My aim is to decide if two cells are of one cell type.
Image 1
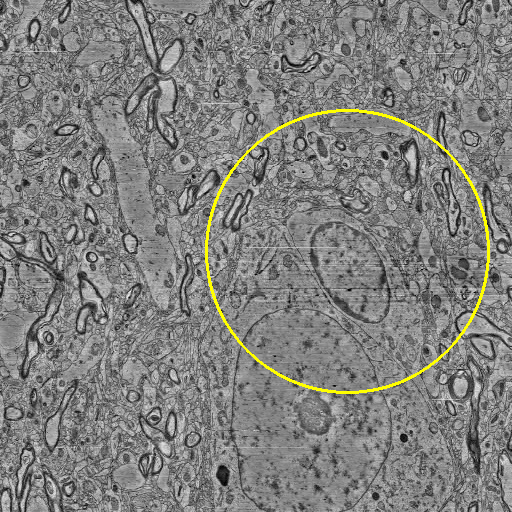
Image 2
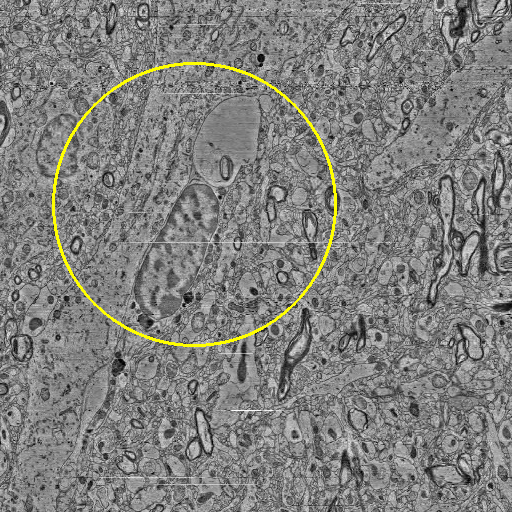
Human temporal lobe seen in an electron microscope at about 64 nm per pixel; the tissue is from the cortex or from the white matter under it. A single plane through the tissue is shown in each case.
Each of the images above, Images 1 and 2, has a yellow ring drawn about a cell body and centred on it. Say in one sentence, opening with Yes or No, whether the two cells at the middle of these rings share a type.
Yes, in Images 1 and 2 the cells at the middle of the rings share one type.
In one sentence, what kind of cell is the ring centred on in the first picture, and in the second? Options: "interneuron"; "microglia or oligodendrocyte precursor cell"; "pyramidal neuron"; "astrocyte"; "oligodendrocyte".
In the first picture and in the second, the ring is centred on a microglial cell or oligodendrocyte precursor cell.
